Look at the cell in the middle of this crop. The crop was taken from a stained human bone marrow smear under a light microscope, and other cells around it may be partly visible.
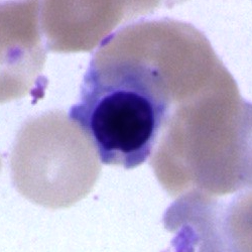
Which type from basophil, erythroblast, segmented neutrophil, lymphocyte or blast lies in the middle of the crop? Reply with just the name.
erythroblast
